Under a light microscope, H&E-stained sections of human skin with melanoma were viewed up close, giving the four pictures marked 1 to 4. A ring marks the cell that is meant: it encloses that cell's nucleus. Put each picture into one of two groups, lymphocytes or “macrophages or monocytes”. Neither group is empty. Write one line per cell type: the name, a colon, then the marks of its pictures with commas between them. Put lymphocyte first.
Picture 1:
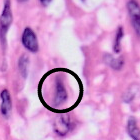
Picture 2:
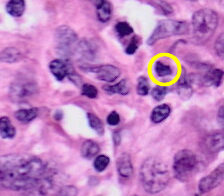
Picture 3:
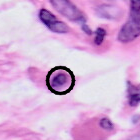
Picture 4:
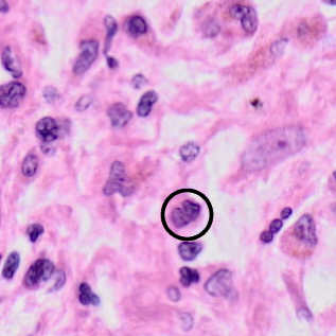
lymphocyte: 2
macrophage or monocyte: 1, 3, 4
